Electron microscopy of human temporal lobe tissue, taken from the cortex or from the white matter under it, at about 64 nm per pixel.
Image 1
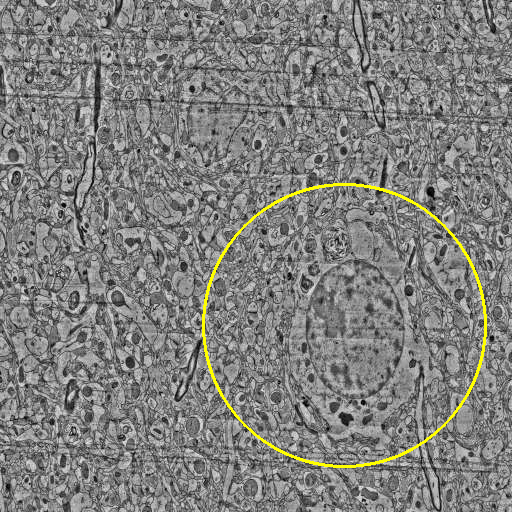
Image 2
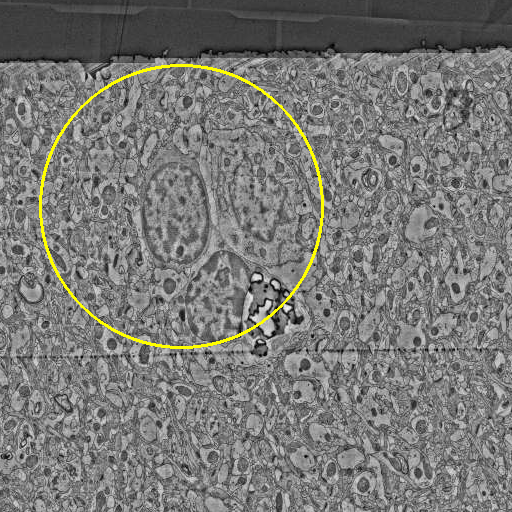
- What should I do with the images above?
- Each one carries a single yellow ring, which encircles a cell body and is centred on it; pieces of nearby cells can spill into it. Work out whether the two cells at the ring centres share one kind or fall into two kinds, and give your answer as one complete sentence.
The ring-centre cells of Image 1 and Image 2 fall into two kinds.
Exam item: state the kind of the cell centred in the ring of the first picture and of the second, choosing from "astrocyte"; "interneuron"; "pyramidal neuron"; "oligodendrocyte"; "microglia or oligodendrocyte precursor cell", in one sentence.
The first picture shows an astrocyte at the ring centre and the second shows an oligodendrocyte.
